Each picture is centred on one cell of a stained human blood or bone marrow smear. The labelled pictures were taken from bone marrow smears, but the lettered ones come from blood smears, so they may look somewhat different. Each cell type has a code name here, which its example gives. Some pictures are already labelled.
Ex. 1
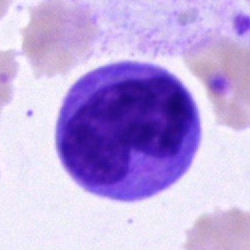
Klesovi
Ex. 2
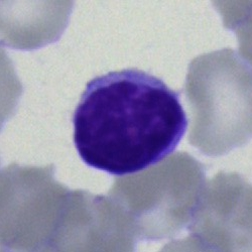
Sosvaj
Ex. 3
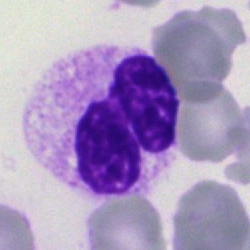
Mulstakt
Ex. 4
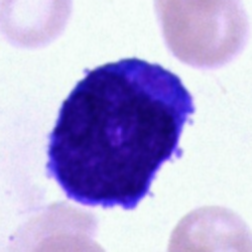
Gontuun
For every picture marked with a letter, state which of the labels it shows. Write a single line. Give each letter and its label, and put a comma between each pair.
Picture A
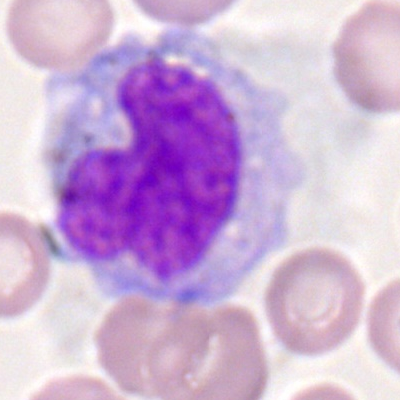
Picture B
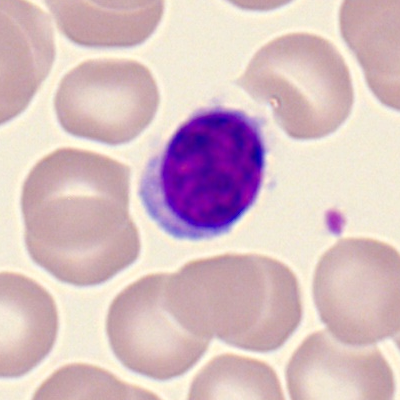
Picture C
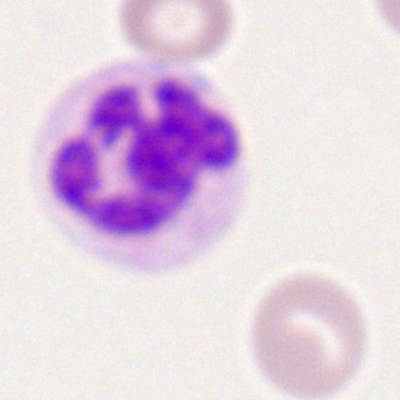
A Klesovi, B Sosvaj, C Mulstakt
